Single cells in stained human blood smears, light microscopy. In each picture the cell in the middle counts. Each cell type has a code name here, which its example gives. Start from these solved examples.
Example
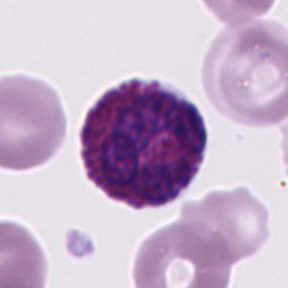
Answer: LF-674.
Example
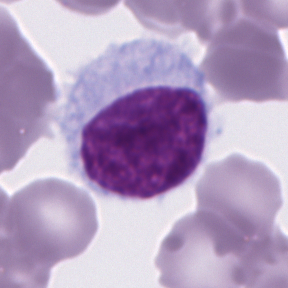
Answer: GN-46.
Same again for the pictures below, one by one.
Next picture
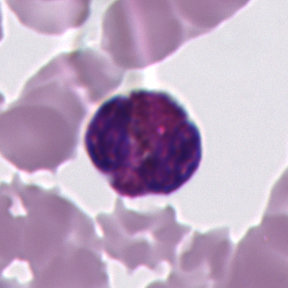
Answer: LF-674.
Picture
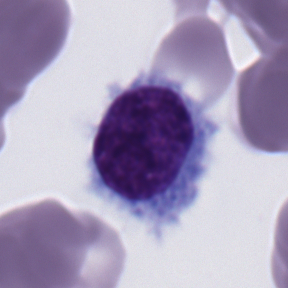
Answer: GN-46.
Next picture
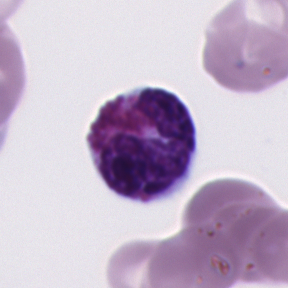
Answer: LF-674.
